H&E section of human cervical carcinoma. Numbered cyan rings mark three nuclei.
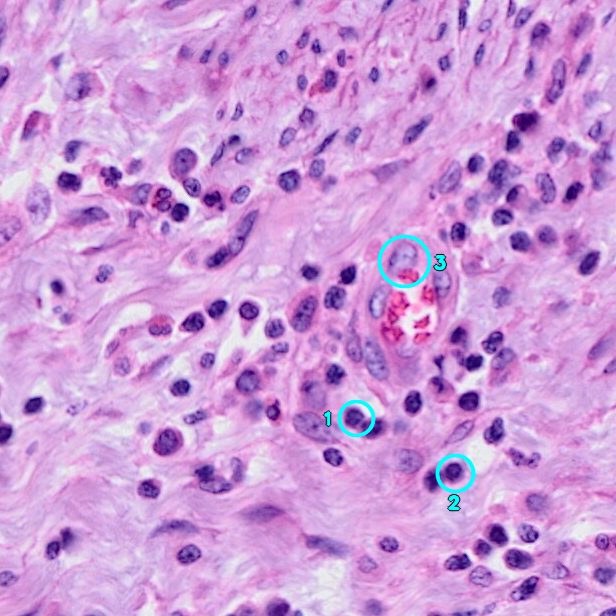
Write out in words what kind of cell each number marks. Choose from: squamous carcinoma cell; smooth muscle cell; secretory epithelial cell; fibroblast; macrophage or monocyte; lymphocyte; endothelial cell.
Cell 1 is a lymphocyte, cell 2 is a lymphocyte and cell 3 is an endothelial cell.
